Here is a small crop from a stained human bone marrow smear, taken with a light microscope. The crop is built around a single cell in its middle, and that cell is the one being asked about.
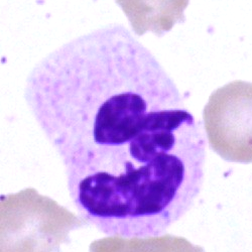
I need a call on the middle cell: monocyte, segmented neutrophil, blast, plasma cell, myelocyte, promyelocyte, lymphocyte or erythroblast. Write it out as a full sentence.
As for the cell in the middle, it is a segmented neutrophil.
